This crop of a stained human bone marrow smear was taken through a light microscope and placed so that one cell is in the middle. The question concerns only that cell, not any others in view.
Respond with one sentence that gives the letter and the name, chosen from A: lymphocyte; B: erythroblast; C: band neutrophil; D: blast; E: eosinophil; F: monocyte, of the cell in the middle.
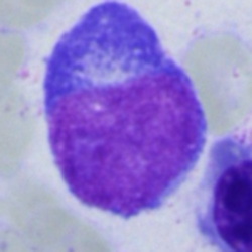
Option D is right in identifying the central cell as a blast.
